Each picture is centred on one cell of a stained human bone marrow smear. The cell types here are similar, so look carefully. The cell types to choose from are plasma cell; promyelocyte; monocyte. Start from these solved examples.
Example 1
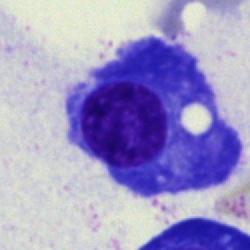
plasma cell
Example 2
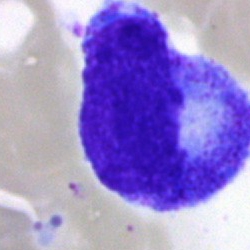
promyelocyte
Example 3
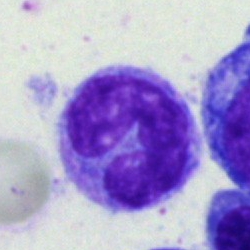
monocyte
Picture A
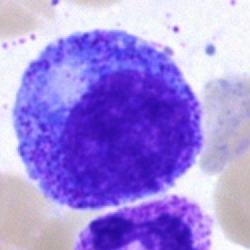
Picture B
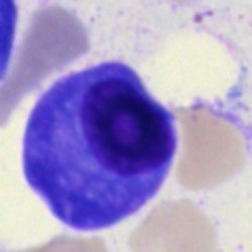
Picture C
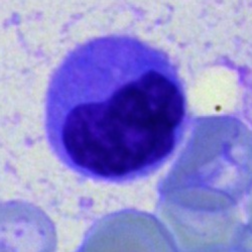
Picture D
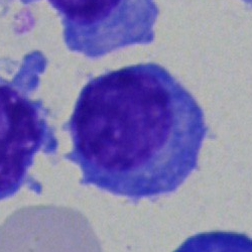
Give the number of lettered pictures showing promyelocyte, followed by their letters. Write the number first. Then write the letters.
1, namely A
